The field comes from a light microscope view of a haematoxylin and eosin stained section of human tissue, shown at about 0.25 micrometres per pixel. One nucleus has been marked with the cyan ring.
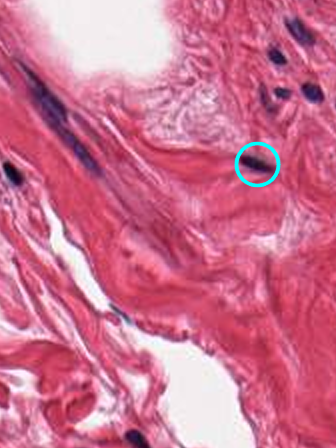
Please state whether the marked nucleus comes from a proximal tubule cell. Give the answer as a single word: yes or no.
no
